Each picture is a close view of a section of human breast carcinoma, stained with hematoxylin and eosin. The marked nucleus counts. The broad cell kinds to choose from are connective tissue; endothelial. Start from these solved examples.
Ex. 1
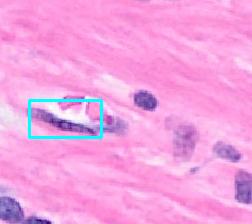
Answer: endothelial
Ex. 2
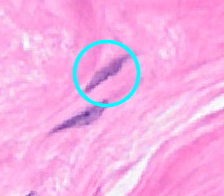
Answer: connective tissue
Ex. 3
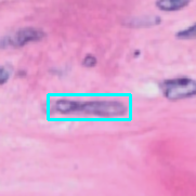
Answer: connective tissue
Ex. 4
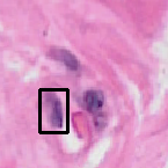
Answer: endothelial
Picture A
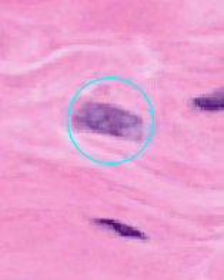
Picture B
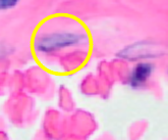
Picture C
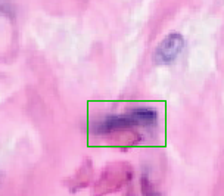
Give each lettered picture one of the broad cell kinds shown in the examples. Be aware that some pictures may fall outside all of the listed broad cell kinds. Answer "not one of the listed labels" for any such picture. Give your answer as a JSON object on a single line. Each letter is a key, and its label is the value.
{"A": "connective tissue", "B": "endothelial", "C": "endothelial"}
